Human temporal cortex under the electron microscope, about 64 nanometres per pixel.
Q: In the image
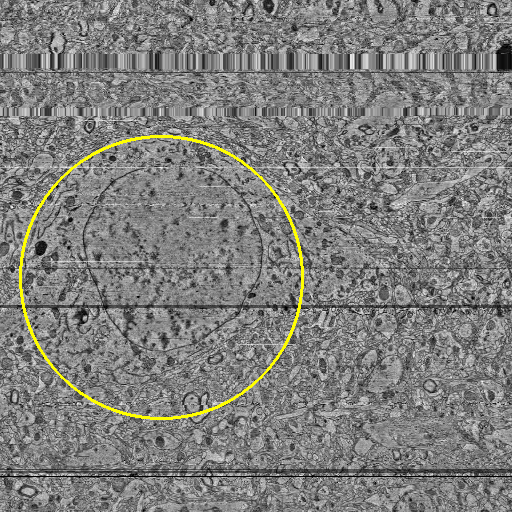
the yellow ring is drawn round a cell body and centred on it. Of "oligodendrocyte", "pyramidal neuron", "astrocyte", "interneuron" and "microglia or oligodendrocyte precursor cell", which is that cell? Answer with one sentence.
The cell centred in the ring is a pyramidal neuron.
